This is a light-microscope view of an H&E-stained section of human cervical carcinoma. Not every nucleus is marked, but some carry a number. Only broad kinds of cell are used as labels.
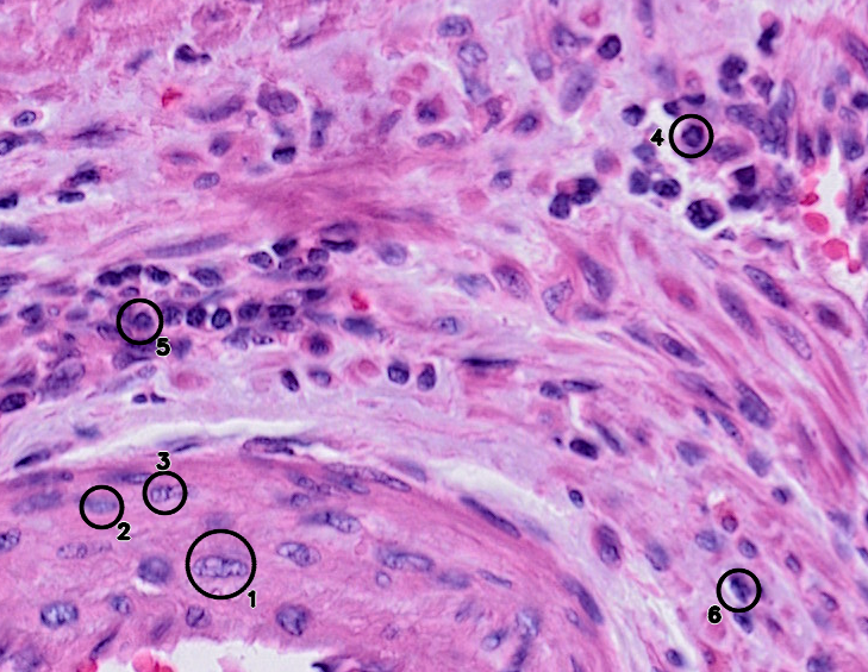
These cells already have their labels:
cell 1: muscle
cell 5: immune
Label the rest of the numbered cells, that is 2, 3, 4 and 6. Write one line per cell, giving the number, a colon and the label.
2: muscle
3: muscle
4: immune
6: immune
